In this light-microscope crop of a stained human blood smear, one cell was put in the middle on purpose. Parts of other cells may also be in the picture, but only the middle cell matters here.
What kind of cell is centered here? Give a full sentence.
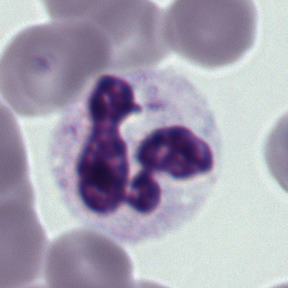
Present in the middle of the crop is a segmented neutrophil.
